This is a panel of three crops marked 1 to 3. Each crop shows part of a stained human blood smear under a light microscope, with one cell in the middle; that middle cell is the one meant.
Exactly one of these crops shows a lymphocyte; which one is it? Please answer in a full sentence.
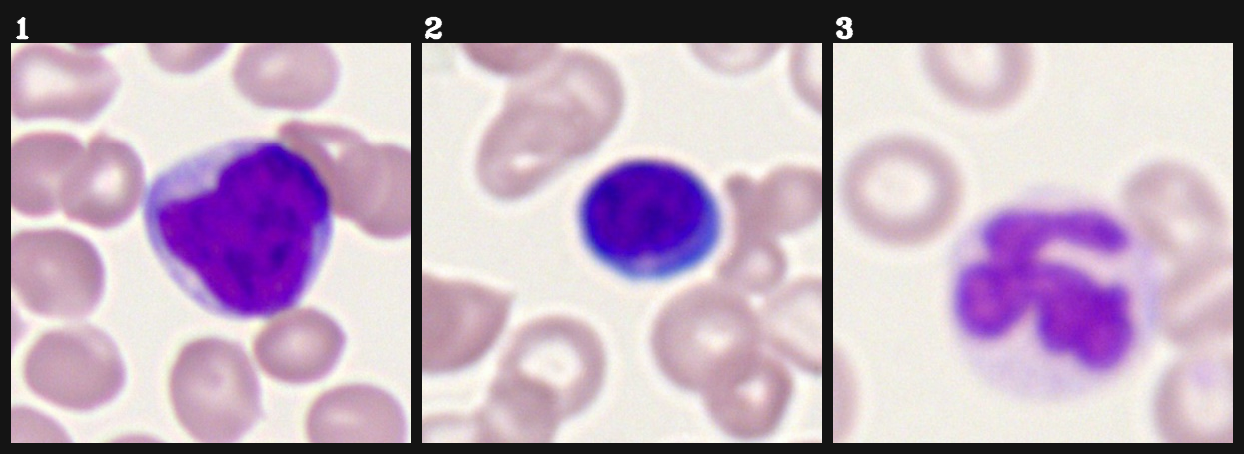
The requested cell, a lymphocyte, is the one in crop 2.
